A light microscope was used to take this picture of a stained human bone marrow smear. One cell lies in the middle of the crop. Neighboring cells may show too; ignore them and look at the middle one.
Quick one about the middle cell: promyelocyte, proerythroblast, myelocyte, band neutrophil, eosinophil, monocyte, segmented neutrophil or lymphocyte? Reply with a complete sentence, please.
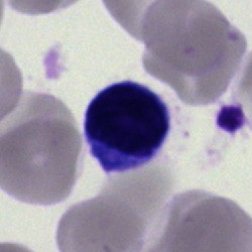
The cell in the middle of the field of view is a lymphocyte.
